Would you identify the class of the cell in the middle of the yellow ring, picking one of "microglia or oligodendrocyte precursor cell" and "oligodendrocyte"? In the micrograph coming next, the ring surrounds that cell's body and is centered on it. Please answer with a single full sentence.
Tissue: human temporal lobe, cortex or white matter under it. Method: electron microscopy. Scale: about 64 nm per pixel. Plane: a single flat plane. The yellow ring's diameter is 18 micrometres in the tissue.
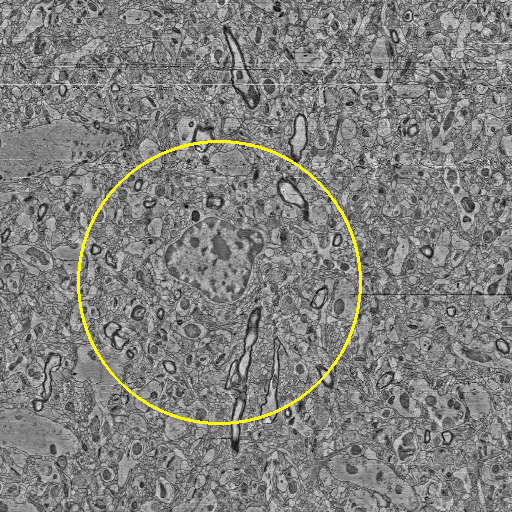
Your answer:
In the micrograph, it is a microglial cell or oligodendrocyte precursor cell whose body lies at the ring's center.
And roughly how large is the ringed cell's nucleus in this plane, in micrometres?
Approximately 6 micrometers across in this plane.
